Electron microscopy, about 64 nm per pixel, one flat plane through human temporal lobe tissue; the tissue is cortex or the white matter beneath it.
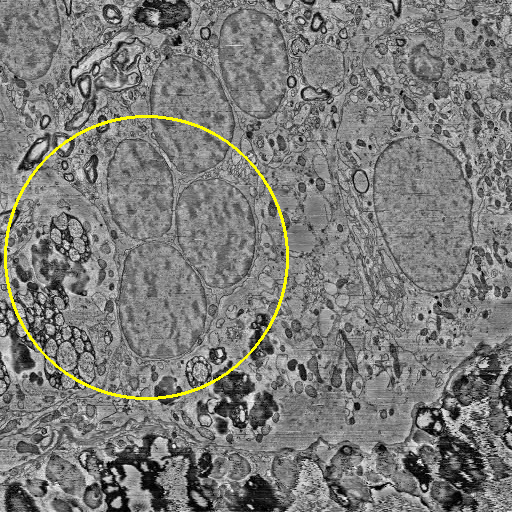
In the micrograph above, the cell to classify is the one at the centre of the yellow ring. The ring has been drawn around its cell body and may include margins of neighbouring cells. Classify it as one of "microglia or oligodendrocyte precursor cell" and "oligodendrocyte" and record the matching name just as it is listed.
oligodendrocyte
